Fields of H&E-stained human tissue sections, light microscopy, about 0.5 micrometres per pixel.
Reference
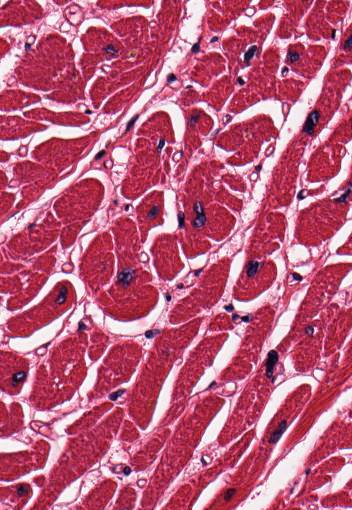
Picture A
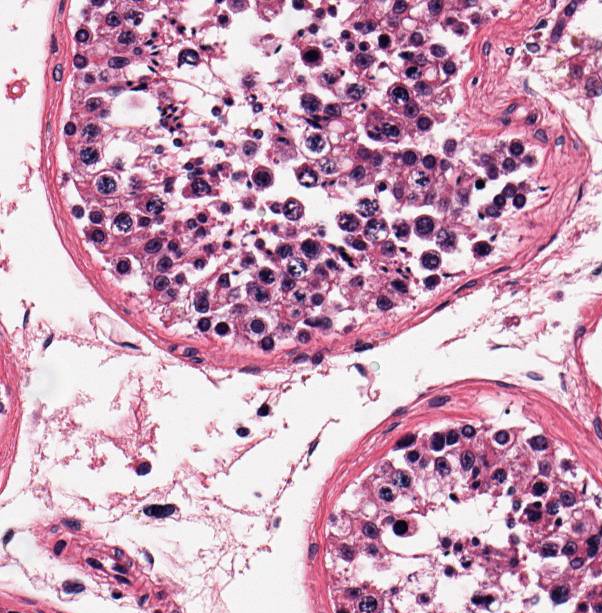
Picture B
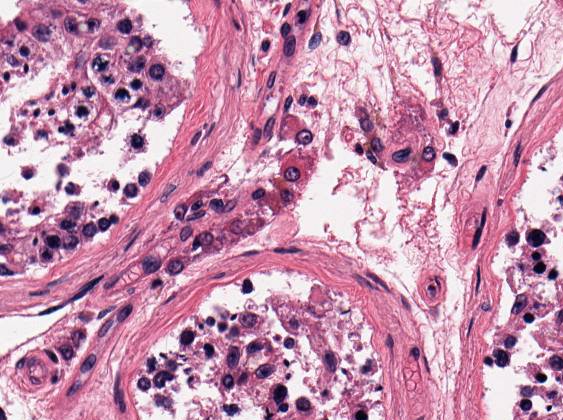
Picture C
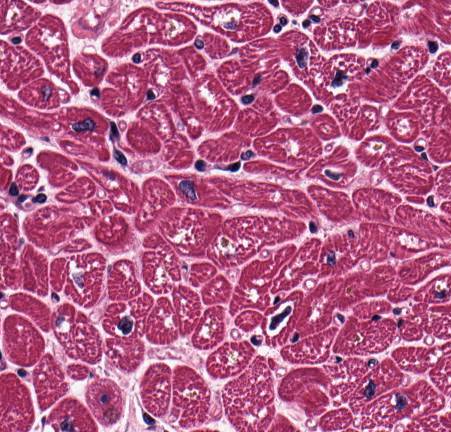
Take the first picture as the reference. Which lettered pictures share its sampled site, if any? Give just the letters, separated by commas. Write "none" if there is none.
C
